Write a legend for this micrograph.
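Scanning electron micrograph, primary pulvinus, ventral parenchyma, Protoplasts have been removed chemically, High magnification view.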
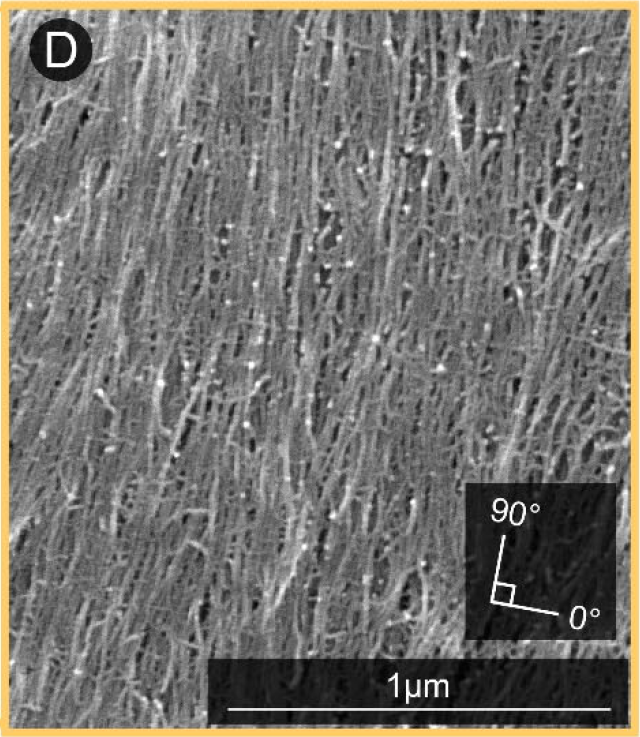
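Inner surface of a plant cell wall showing cellulose microfibrils as a dense layer of very fine fibrils. Most fibrils run roughly parallel, top to bottom in the frame, with some wavy and crossing strands between them.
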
